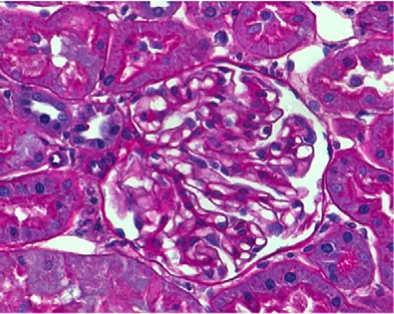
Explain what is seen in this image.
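Kidney cortex with a glomerulus: a lobulated tuft of thin-walled, open capillary loops with scattered small nuclei, outlined by thin magenta basement membranes. A clear space separates the tuft from the thin capsule, and cuboidal-lined tubules with pink luminal borders surround it.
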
